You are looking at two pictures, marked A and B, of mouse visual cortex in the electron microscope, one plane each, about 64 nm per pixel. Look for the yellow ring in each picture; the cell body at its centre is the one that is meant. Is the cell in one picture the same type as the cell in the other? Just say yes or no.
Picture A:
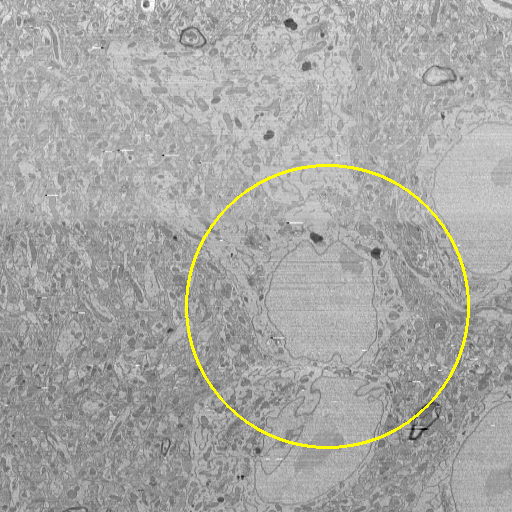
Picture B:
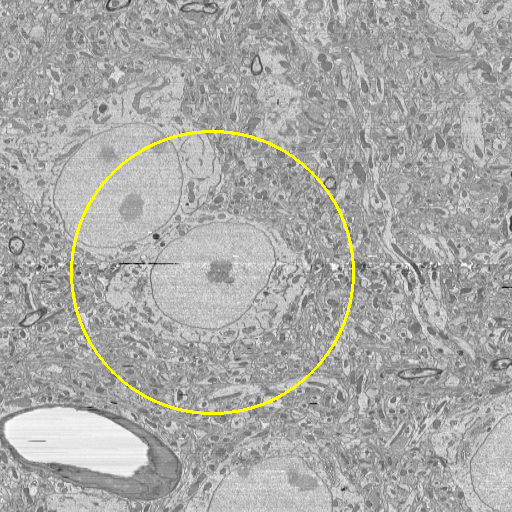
yes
